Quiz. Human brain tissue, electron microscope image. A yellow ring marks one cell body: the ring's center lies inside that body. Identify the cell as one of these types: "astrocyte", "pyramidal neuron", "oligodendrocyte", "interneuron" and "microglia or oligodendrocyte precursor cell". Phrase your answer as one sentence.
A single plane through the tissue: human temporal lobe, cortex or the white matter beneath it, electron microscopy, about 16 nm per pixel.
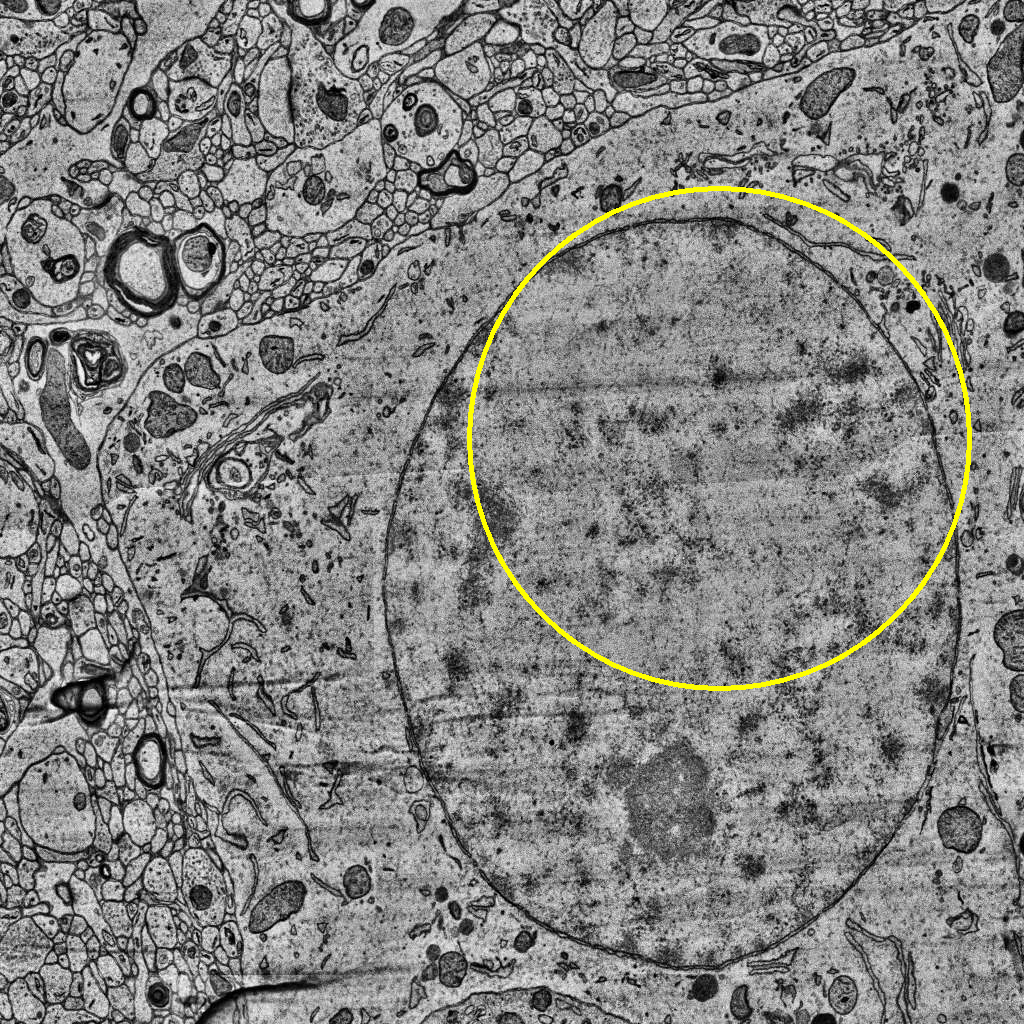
At the center of the ring sits a pyramidal neuron.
